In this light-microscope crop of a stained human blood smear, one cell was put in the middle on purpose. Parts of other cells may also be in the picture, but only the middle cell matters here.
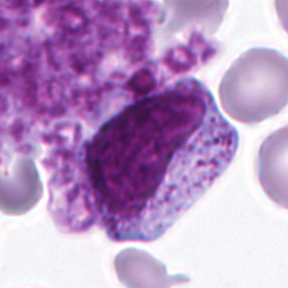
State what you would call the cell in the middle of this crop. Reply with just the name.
metamyelocyte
